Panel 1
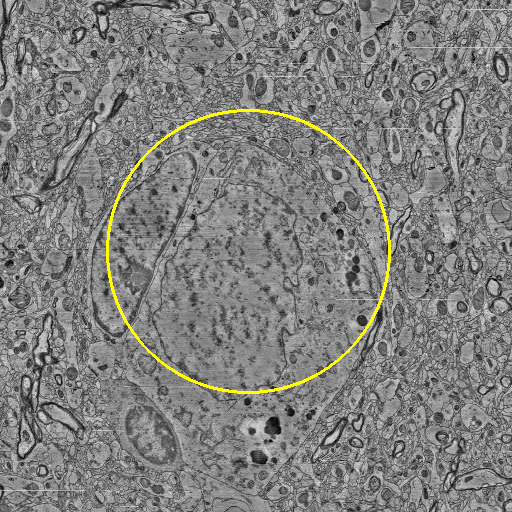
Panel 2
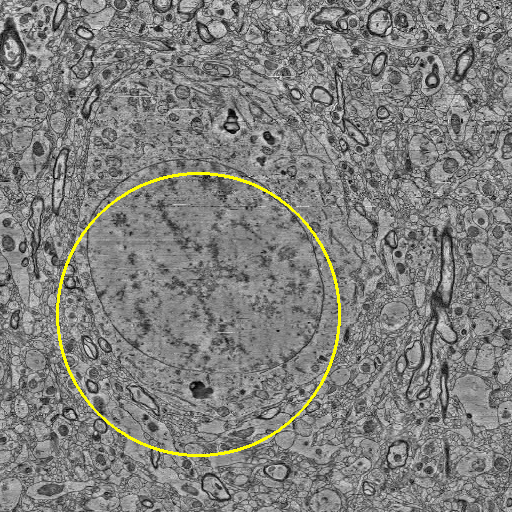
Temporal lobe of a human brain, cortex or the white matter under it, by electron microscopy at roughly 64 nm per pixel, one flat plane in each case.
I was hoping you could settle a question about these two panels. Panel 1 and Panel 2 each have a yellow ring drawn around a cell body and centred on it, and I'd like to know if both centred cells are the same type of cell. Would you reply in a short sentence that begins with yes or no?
Yes, both are the same type of cell.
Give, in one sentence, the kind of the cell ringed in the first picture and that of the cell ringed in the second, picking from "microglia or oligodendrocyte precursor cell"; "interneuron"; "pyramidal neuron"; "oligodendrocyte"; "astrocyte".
In each of the two pictures, the ringed cell is a pyramidal neuron.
